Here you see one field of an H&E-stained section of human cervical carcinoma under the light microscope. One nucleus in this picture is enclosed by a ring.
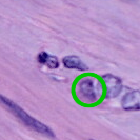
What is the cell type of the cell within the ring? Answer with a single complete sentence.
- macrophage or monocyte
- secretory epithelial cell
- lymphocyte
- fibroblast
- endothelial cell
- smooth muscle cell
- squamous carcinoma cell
In this tissue sample, the cell within the ring is an endothelial cell.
